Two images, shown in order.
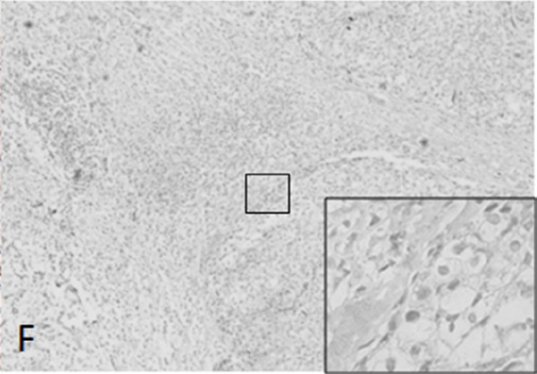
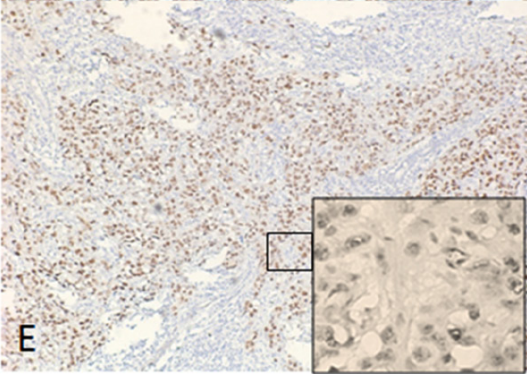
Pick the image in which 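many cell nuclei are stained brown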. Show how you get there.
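First image: the cells and their nuclei are grey to pale, with no brown colour. Second image: numerous nuclei across the cellular sheets are brown.
The second image.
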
